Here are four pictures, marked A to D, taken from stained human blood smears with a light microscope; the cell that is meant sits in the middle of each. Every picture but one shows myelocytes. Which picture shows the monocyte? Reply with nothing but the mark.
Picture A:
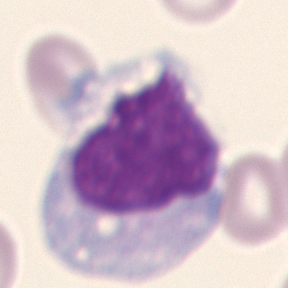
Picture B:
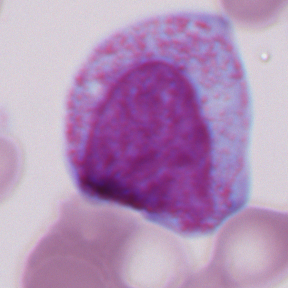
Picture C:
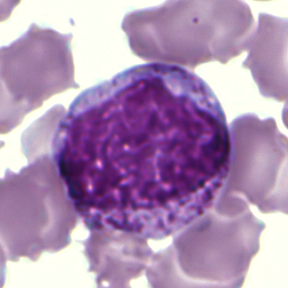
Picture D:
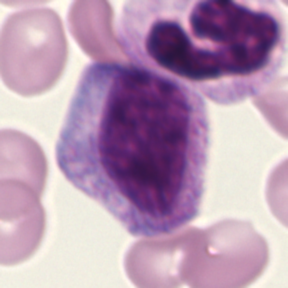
A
